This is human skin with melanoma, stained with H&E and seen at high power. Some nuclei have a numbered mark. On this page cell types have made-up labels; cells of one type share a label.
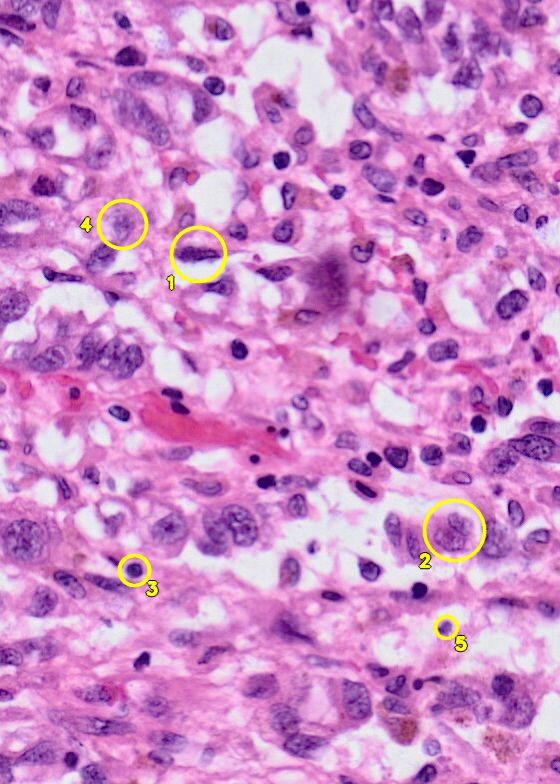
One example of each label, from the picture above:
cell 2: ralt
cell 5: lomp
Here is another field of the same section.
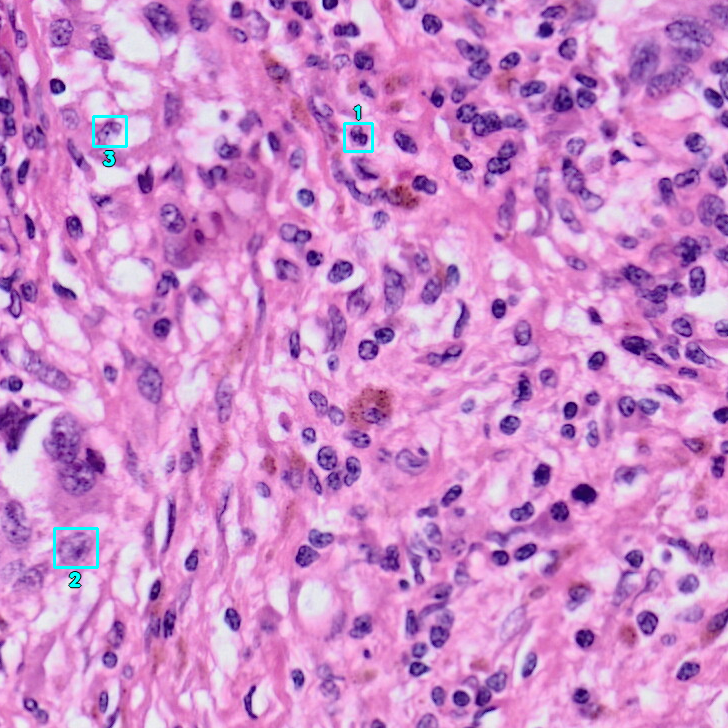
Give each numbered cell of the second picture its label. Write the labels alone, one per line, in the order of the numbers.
lomp
ralt
ralt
